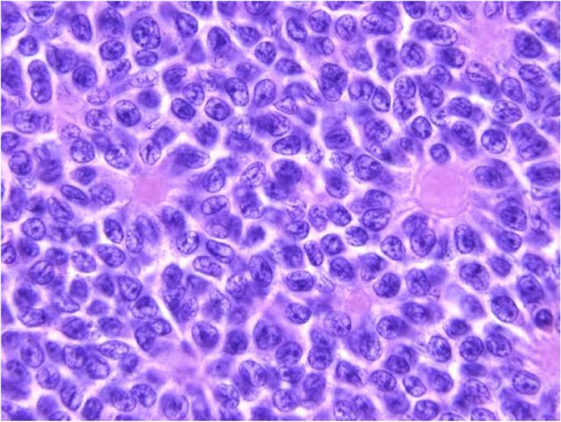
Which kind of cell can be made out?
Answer: granulosa cells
